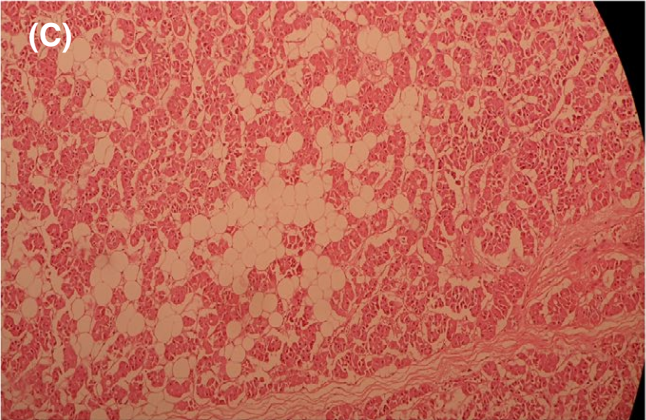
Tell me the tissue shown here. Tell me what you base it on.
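Clusters of large empty round clear spaces with thin walls. These clear cells lie among pink epithelial nests. That points to this answer: adipose tissue component.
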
